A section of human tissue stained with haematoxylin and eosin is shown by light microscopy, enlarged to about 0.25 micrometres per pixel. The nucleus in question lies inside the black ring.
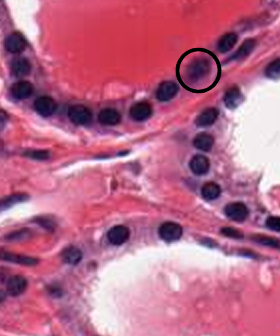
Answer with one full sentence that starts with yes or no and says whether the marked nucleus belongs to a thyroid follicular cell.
Yes, the marked nucleus belongs to a thyroid follicular cell in this image.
